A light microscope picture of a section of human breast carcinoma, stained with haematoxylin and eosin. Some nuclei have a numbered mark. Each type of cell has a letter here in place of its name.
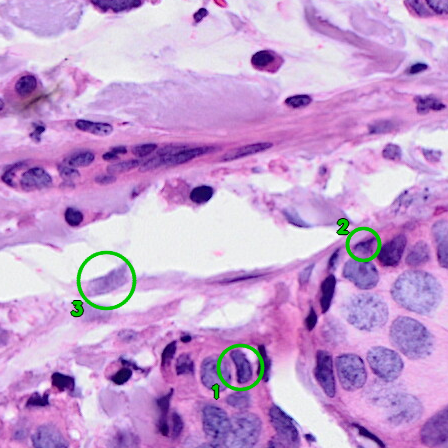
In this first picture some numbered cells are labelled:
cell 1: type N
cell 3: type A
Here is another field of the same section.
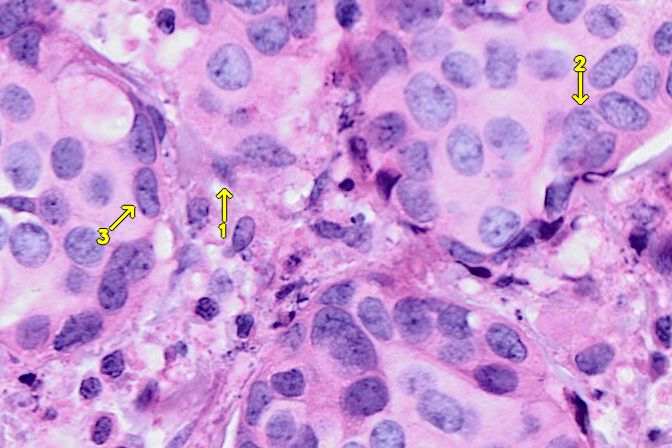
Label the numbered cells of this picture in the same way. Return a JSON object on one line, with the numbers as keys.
{"1": "type A", "2": "type N", "3": "type N"}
